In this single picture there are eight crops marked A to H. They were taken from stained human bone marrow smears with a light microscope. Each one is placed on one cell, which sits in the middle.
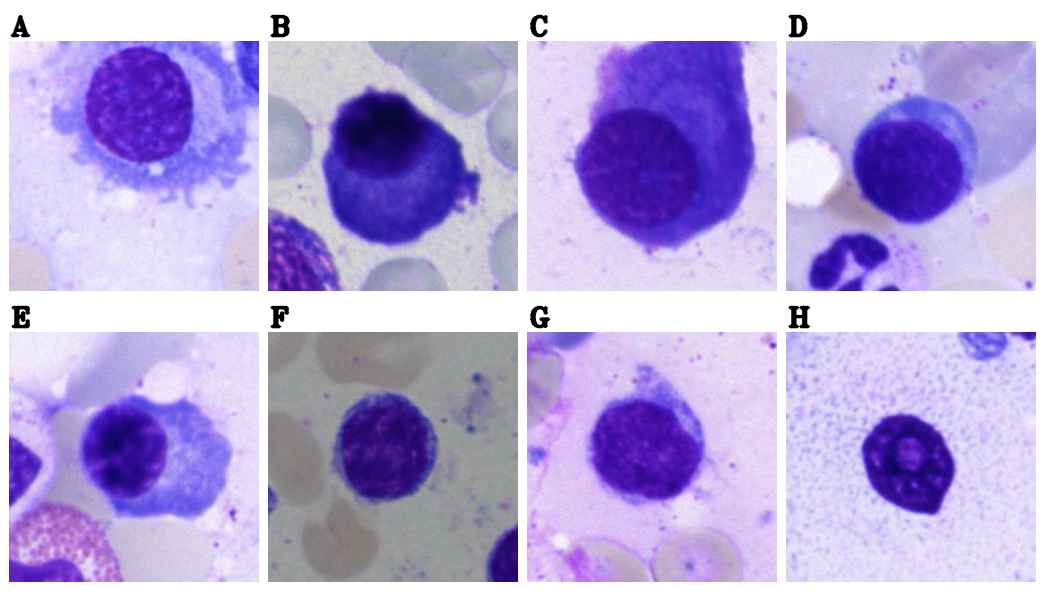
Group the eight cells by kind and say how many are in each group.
plasma cell: 4
lymphocyte: 4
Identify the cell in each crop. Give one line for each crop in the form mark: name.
A: plasma cell
B: plasma cell
C: plasma cell
D: lymphocyte
E: plasma cell
F: lymphocyte
G: lymphocyte
H: lymphocyte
